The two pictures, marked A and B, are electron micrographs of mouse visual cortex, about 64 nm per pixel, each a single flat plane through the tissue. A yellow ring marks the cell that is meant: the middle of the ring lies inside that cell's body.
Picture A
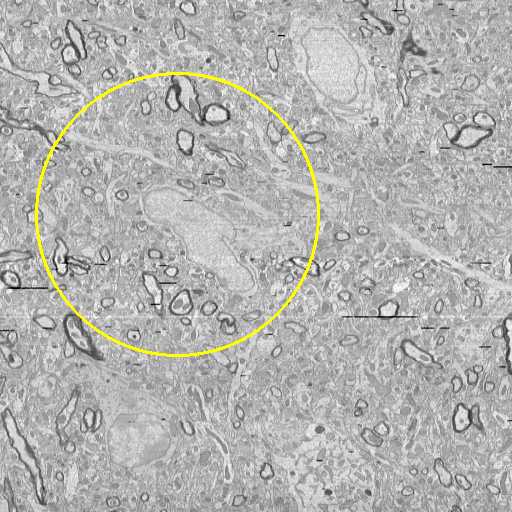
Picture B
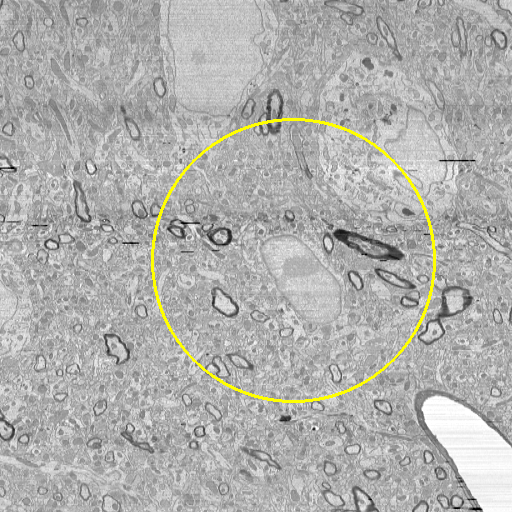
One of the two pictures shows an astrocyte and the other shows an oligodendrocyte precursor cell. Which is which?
It is picture A that shows an oligodendrocyte precursor cell, and picture B that shows an astrocyte.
